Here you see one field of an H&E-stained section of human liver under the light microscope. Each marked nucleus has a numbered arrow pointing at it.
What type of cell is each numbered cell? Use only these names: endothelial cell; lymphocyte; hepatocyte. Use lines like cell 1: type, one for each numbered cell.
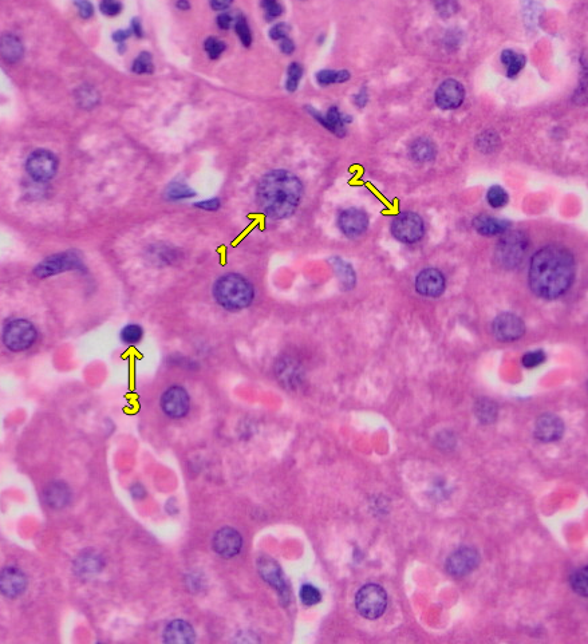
cell 1: hepatocyte
cell 2: hepatocyte
cell 3: lymphocyte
